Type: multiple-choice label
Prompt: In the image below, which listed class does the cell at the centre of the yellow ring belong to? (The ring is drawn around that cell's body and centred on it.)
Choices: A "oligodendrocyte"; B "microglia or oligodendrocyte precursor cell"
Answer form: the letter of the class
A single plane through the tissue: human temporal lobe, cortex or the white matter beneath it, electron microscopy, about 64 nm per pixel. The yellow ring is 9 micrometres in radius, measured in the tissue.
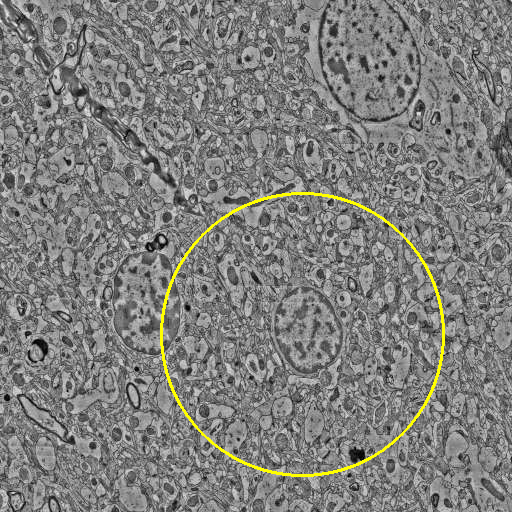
A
